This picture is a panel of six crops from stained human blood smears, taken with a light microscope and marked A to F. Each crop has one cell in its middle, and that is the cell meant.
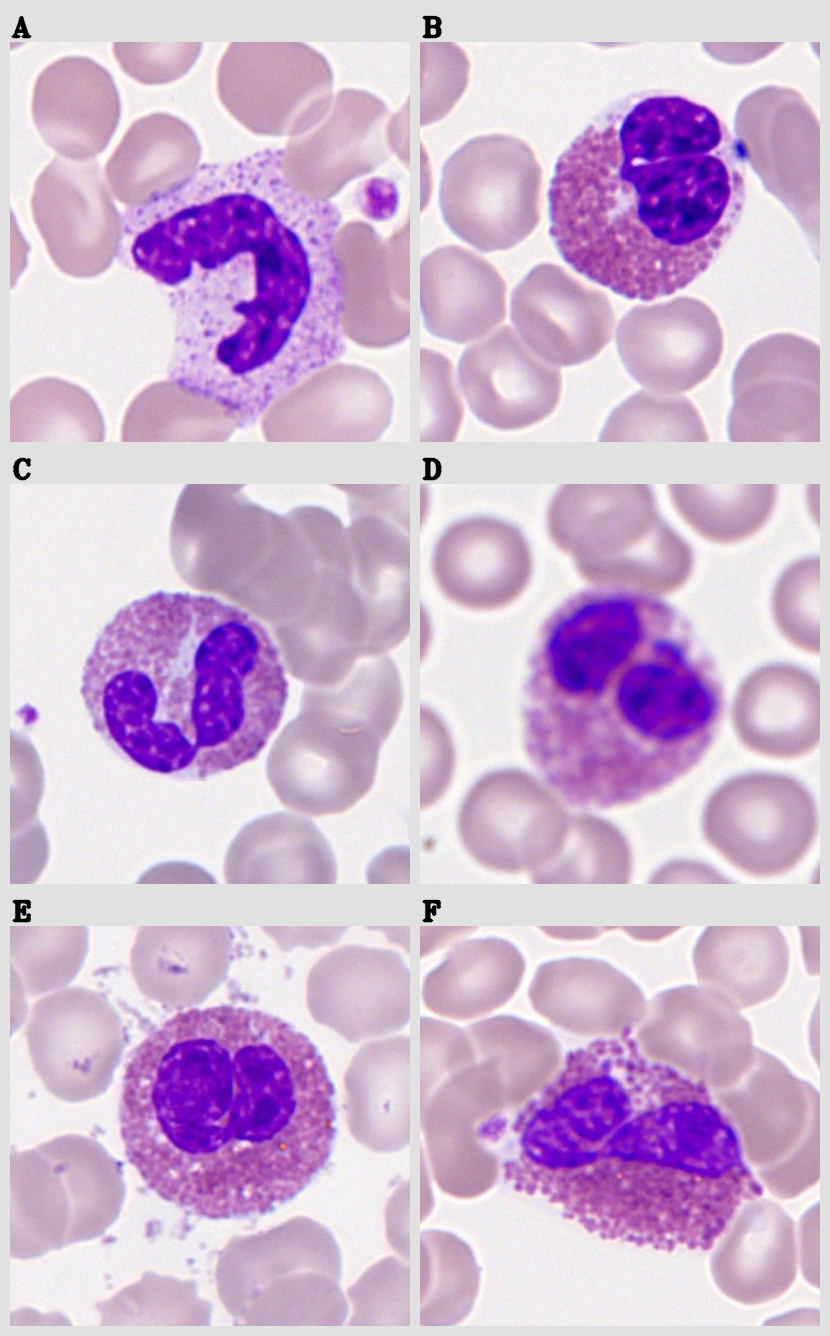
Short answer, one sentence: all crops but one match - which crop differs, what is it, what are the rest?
The central cell of crop A is a band neutrophil, while the other crops show eosinophils.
